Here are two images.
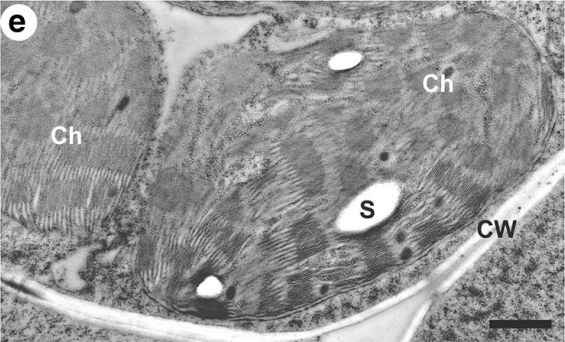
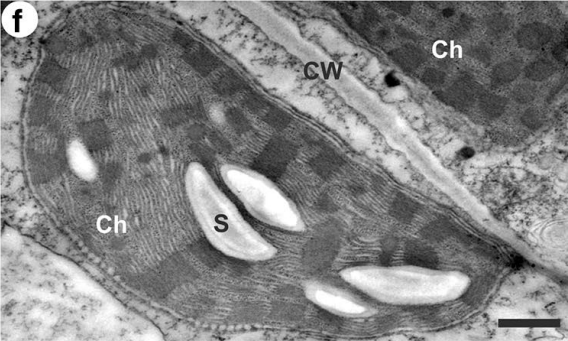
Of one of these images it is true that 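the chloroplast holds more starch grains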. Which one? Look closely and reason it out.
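The second image. First image: the central chloroplast contains only a few starch grains, mostly small, scattered among the membranes.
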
